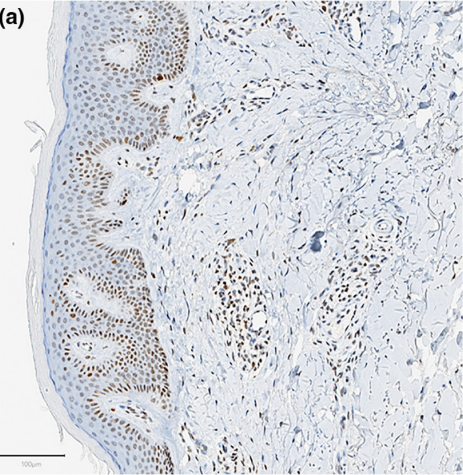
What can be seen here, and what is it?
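A section of skin shows a thickened epidermis on the left with an undulating lower border, where epithelial downgrowths alternate with projections of dermal papillae. A thin pale cornified layer covers the surface, and brown-stained nuclei are most numerous in the deeper epithelial layers. The dermis to the right is loose fibrous tissue with scattered nuclei, small vessels and denser cellular clusters.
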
